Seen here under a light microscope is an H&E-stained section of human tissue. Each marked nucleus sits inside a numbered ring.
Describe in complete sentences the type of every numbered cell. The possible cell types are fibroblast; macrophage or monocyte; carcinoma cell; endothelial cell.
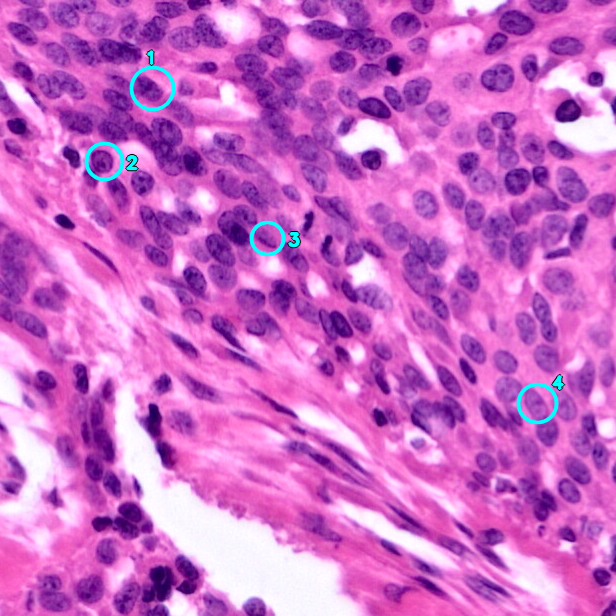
Cells 1, 3 and 4 are carcinoma cells. Cell 2 is a macrophage or monocyte.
